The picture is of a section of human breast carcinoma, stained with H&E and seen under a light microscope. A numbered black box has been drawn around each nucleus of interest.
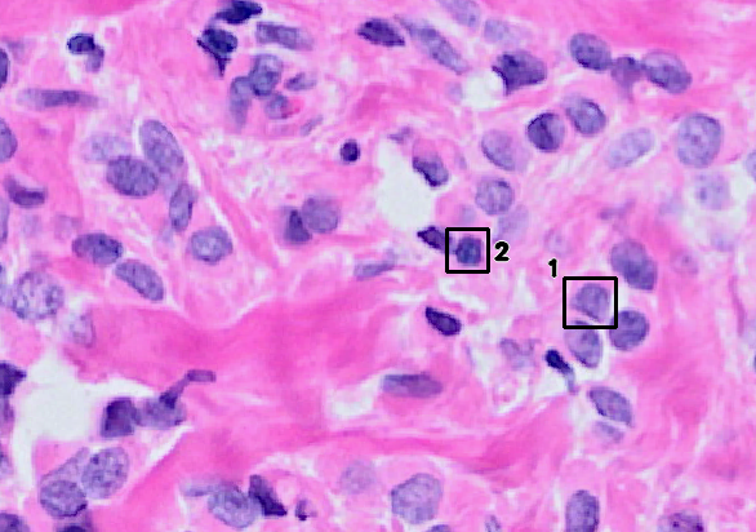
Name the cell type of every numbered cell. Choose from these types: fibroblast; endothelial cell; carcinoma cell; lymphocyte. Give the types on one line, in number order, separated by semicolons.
carcinoma cell; lymphocyte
